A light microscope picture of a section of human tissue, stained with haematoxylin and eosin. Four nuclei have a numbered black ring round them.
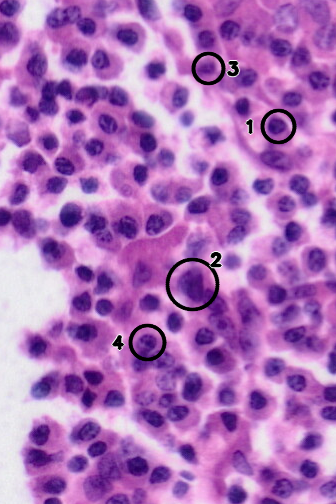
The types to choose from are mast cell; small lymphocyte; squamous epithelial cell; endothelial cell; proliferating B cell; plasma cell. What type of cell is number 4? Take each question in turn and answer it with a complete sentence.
The numbered cell 4 is identified here as a plasma cell.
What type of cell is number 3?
The cell carrying label 3 is identified as a plasma cell.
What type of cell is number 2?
The nucleus with number 2 is that of a squamous epithelial cell.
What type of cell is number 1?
Cell 1, as marked in the section, is a plasma cell.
